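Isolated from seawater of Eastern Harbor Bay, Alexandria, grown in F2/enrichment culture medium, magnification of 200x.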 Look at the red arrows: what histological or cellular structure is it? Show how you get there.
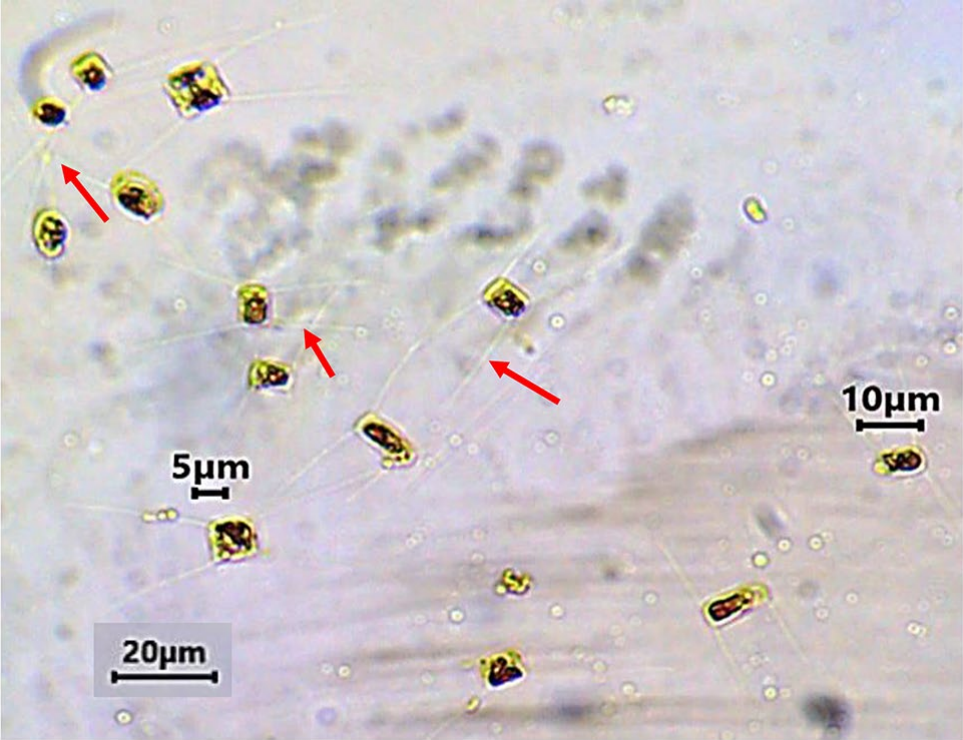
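Setae. Very thin, long, straight hair-like projections extend from the corners of the cells. The projections are many times longer than the cell bodies. The red arrows point at these thin projections.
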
